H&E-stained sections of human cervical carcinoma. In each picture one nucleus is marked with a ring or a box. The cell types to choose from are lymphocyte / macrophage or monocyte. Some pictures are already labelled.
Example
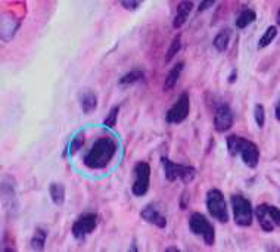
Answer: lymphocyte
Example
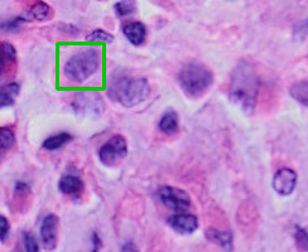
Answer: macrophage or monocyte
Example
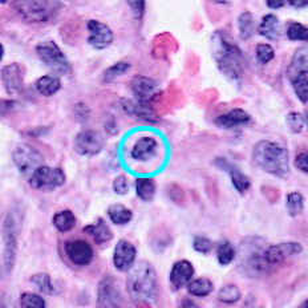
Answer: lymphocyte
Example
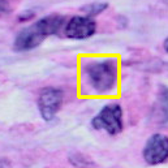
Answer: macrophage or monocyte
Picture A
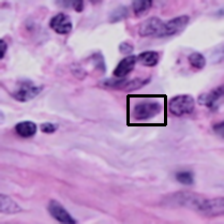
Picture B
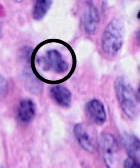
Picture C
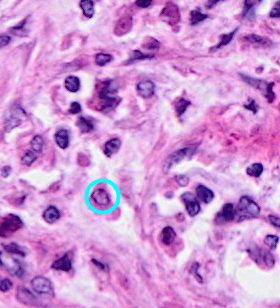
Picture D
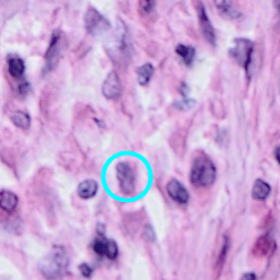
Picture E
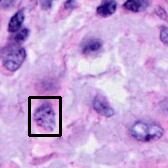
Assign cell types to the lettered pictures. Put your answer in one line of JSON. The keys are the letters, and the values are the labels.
{"A": "lymphocyte", "B": "lymphocyte", "C": "macrophage or monocyte", "D": "macrophage or monocyte", "E": "macrophage or monocyte"}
